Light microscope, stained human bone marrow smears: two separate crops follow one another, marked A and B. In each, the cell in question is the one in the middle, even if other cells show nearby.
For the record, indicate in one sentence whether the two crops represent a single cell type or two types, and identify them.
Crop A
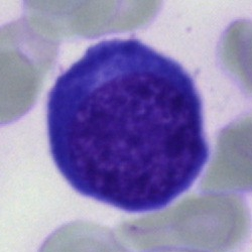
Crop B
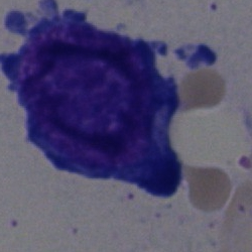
Yes, the cells at the middle of both crops are proerythroblasts.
